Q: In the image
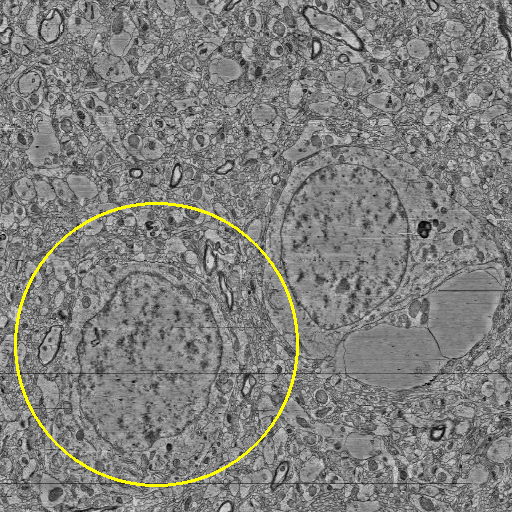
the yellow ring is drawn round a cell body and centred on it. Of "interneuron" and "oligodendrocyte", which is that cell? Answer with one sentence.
The cell centred in the ring is an interneuron.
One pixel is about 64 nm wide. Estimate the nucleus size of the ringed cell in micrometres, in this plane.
In this plane the nucleus is about 12 micrometres by 9.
